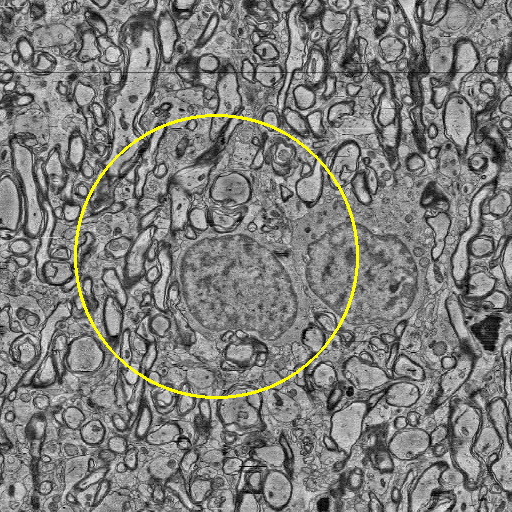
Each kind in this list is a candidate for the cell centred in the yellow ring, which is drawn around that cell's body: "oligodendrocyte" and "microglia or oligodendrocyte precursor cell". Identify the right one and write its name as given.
oligodendrocyte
